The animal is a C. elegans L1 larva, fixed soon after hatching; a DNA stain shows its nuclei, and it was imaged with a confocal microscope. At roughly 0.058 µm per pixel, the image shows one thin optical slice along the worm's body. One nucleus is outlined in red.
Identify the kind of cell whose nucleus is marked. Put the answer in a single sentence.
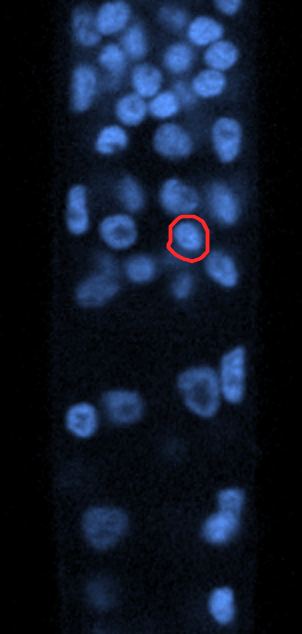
The nucleus comes from a pharyngeal gland cell.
